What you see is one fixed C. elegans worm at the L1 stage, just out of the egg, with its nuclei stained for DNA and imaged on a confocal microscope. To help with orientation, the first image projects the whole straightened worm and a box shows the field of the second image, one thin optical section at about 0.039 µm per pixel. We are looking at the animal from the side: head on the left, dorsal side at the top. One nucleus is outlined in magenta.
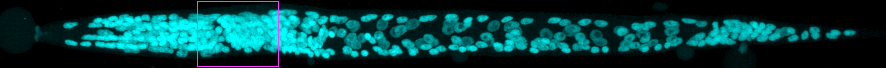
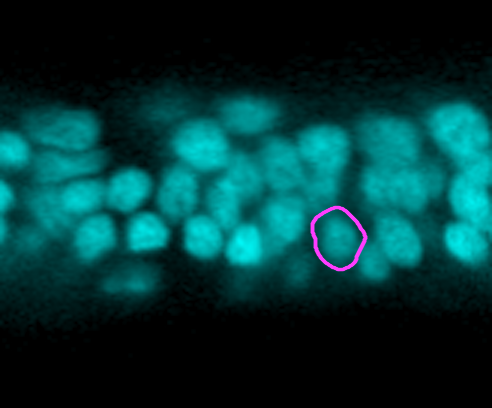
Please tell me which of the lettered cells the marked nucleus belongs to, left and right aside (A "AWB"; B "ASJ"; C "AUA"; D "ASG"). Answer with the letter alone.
C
